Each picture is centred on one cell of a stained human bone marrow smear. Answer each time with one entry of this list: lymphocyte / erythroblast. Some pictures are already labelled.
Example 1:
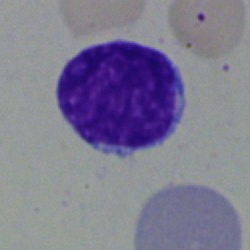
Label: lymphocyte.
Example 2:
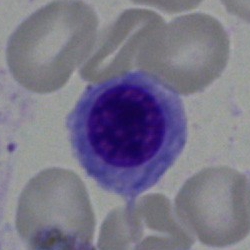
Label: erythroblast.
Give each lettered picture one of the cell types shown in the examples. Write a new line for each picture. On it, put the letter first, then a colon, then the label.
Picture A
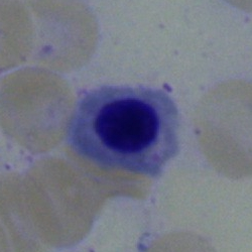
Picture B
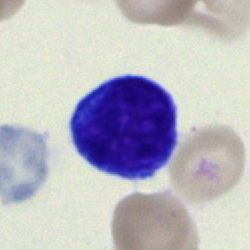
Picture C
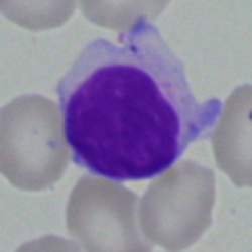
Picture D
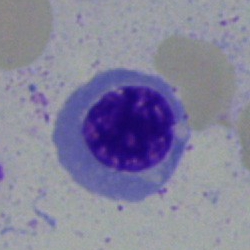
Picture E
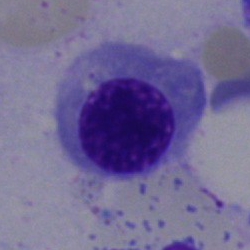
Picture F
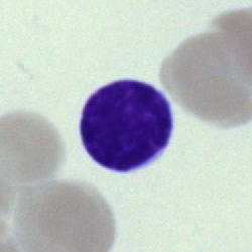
A: erythroblast.
B: lymphocyte.
C: lymphocyte.
D: erythroblast.
E: erythroblast.
F: lymphocyte.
